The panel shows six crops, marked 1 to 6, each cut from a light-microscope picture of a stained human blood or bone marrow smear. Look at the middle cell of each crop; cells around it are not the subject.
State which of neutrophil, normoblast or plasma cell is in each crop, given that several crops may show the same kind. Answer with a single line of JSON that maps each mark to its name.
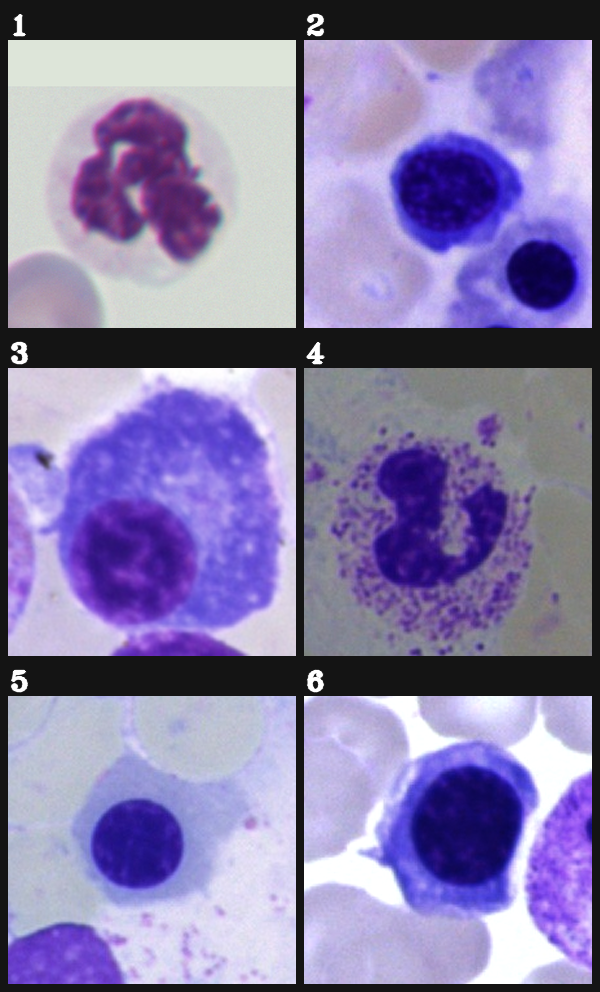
{"1": "neutrophil", "2": "normoblast", "3": "plasma cell", "4": "neutrophil", "5": "normoblast", "6": "normoblast"}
